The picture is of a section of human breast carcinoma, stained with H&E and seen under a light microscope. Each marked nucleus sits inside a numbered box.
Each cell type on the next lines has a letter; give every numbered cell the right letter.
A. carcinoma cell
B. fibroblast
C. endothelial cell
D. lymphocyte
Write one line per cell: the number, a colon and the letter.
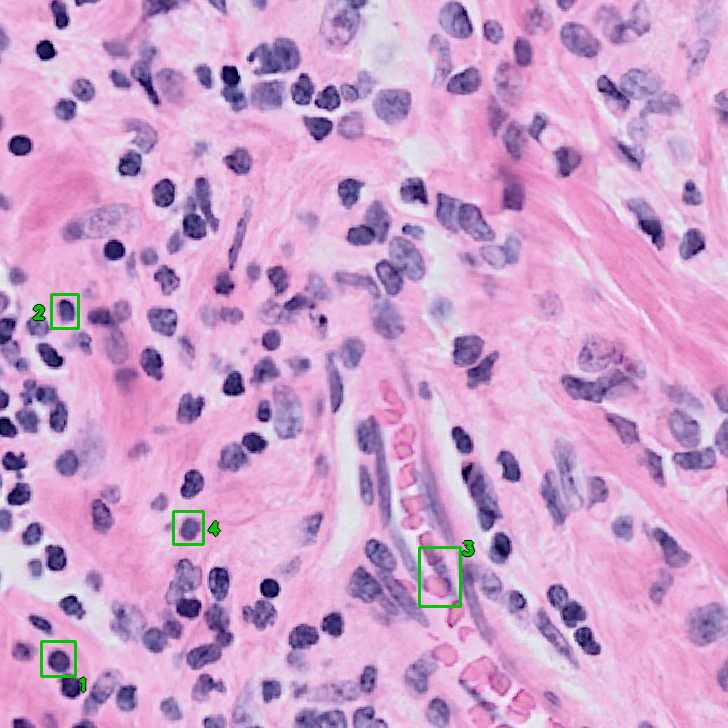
1: D
2: D
3: C
4: D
